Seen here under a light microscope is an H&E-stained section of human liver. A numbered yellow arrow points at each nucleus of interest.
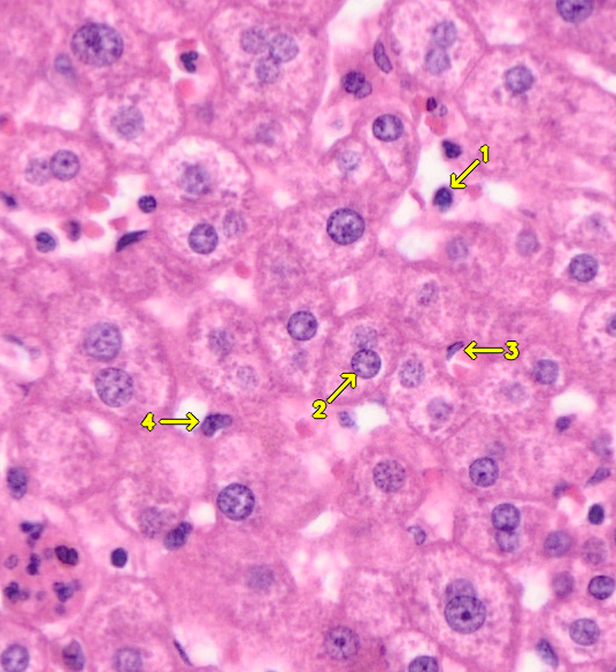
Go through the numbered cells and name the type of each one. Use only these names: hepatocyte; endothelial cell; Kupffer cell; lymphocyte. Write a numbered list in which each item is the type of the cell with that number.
1. lymphocyte
2. hepatocyte
3. endothelial cell
4. Kupffer cell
